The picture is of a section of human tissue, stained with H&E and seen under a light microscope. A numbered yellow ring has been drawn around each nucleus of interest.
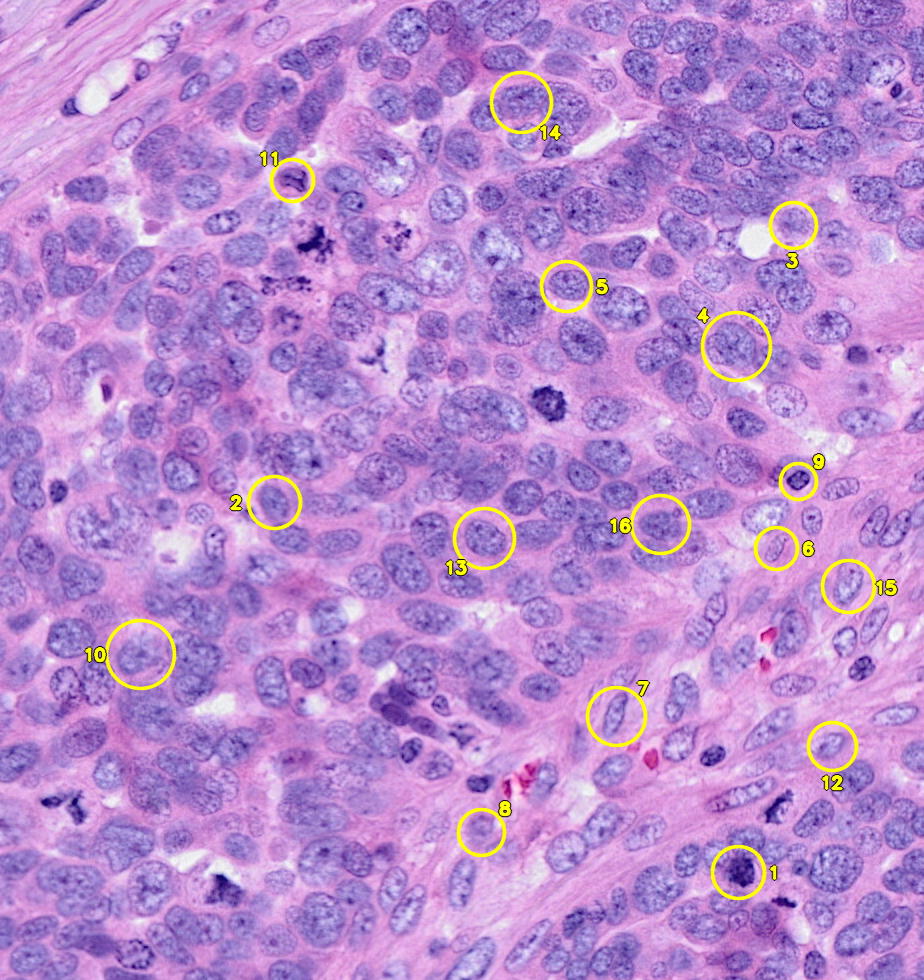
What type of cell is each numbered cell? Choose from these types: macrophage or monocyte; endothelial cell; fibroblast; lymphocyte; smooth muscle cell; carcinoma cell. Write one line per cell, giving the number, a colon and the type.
1: carcinoma cell
2: carcinoma cell
3: carcinoma cell
4: carcinoma cell
5: carcinoma cell
6: fibroblast
7: fibroblast
8: fibroblast
9: lymphocyte
10: carcinoma cell
11: macrophage or monocyte
12: fibroblast
13: carcinoma cell
14: carcinoma cell
15: fibroblast
16: carcinoma cell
